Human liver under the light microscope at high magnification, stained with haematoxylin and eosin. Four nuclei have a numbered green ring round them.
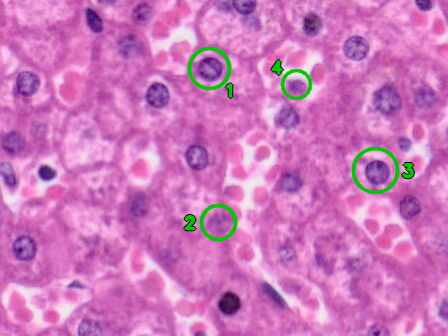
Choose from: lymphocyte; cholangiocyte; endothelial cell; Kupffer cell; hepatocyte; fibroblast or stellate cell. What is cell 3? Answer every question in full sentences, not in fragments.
Here, the cell given the number 3 is a hepatocyte.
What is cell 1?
Within this field of view, the cell labelled 1 is a hepatocyte.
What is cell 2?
Cell 2 in the field of view is a hepatocyte.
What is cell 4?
Corresponding to a Kupffer cell is the cell labelled 4.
